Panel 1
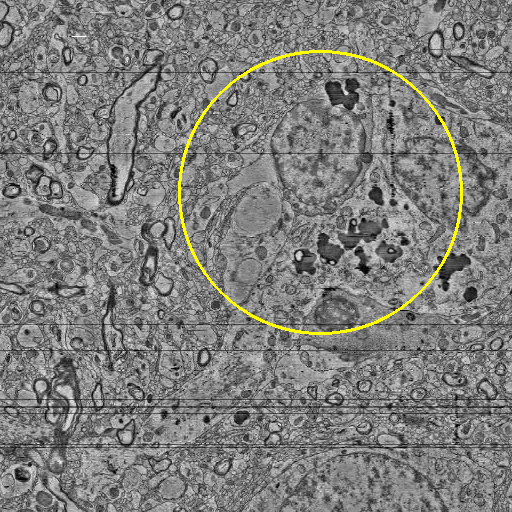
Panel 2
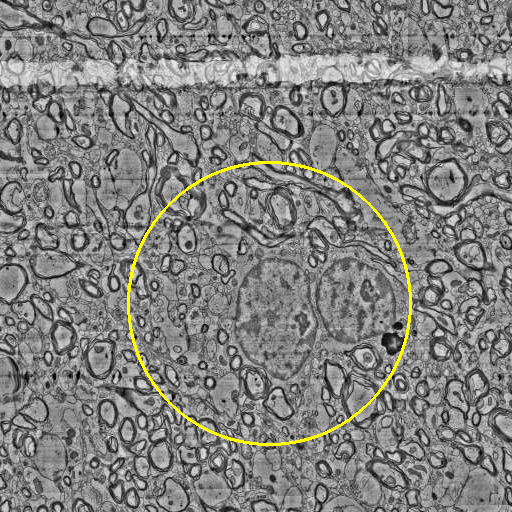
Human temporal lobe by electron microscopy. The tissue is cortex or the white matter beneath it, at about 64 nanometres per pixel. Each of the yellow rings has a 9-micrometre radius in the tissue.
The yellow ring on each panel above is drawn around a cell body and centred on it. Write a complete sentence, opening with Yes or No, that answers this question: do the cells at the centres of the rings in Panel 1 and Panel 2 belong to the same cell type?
Yes, both cells belong to the same cell type.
